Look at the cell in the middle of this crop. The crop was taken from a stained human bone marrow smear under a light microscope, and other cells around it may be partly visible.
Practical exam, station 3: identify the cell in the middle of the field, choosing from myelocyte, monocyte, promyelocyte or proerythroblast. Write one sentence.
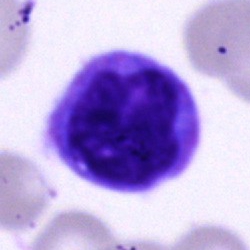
Centred in the crop is a monocyte.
